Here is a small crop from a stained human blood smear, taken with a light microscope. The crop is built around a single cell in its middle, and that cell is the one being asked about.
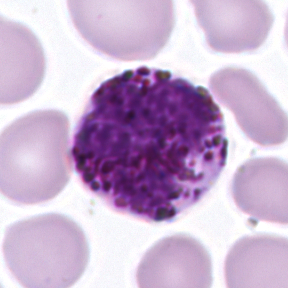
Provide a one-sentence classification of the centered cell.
Centred in the crop is a basophil.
